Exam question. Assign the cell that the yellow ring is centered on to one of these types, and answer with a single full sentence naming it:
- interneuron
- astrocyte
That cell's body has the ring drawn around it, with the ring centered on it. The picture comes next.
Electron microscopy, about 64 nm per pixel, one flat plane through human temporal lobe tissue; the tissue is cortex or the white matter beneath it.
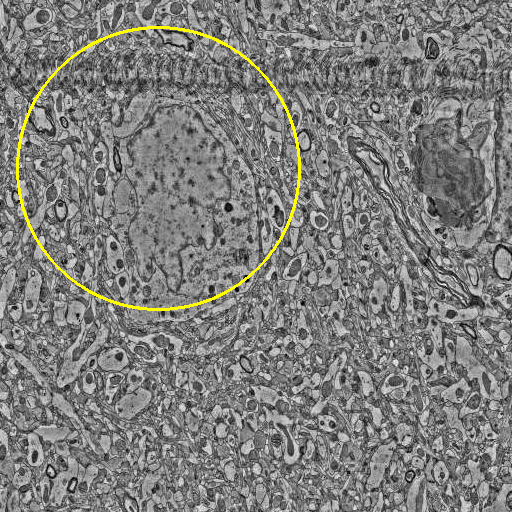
In the micrograph, the cell the yellow ring is centered on is an interneuron.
